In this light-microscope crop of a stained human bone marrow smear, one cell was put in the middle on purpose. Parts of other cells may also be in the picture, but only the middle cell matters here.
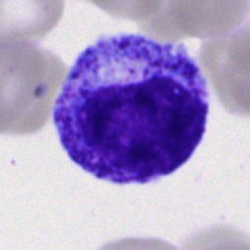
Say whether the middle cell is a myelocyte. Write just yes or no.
yes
